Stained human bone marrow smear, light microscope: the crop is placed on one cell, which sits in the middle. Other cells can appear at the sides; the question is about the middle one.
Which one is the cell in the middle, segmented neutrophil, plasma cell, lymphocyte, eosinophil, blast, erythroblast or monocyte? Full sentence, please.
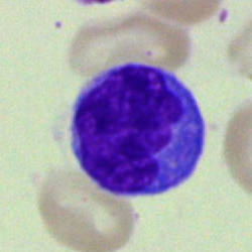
The middle of this crop holds a monocyte.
